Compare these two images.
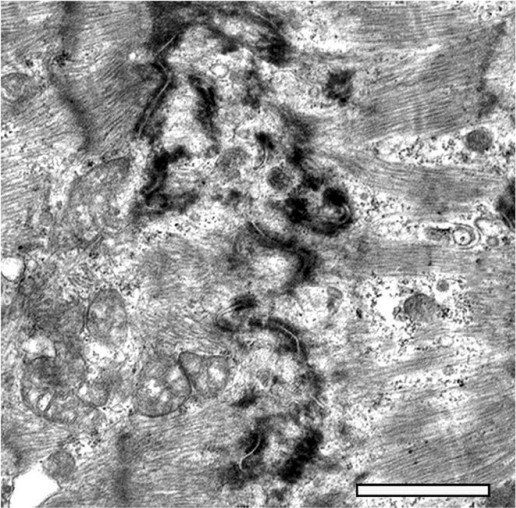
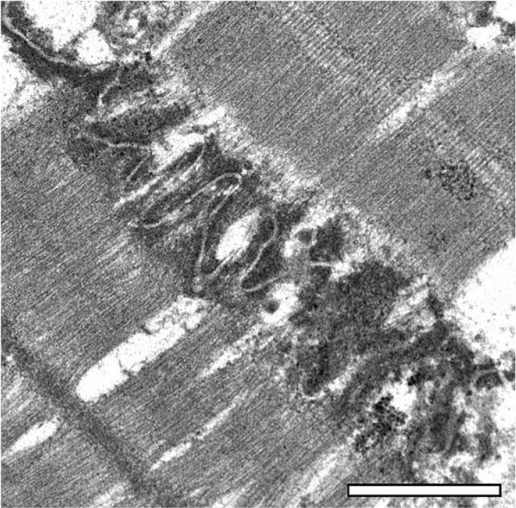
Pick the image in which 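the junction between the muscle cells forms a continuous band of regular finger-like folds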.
the second image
